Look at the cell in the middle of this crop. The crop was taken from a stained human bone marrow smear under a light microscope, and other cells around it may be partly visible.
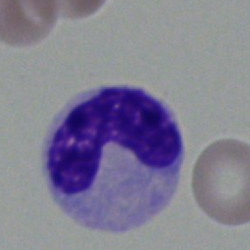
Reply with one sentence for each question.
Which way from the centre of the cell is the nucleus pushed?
The nucleus sits off-centre, toward the top.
